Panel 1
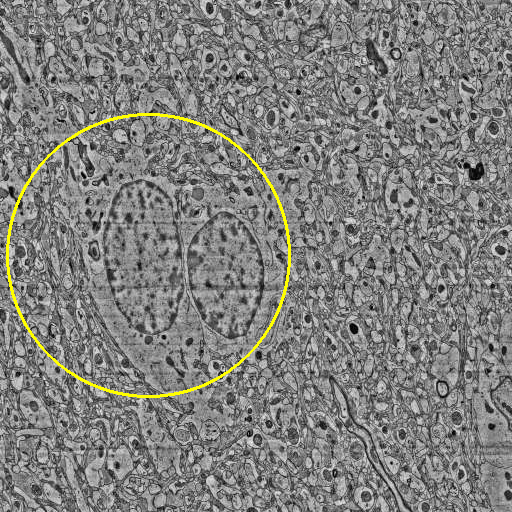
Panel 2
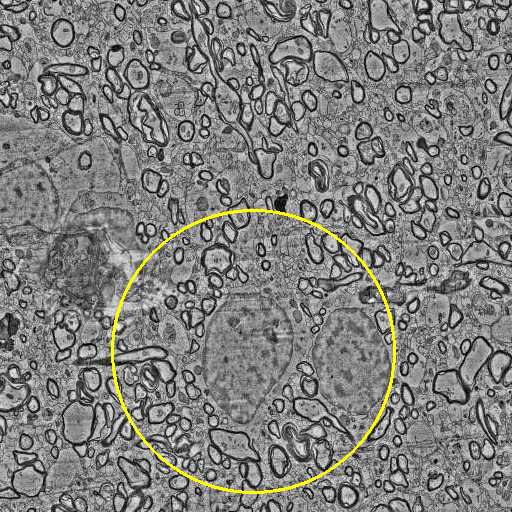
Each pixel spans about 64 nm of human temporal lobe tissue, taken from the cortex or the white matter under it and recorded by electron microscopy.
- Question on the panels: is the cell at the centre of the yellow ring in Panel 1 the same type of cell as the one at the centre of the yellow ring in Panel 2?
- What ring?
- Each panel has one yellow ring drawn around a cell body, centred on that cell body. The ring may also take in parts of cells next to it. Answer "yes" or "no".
no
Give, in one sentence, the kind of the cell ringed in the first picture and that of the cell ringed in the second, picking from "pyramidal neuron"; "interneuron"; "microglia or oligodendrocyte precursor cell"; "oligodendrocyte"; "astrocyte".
For the first picture it is an astrocyte; for the second, an oligodendrocyte.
